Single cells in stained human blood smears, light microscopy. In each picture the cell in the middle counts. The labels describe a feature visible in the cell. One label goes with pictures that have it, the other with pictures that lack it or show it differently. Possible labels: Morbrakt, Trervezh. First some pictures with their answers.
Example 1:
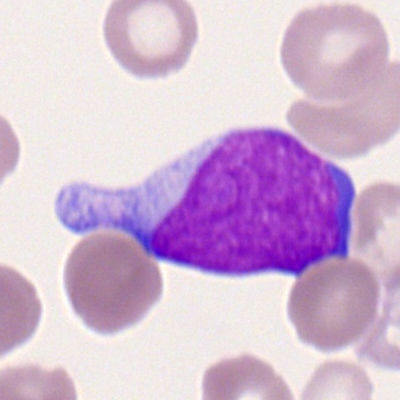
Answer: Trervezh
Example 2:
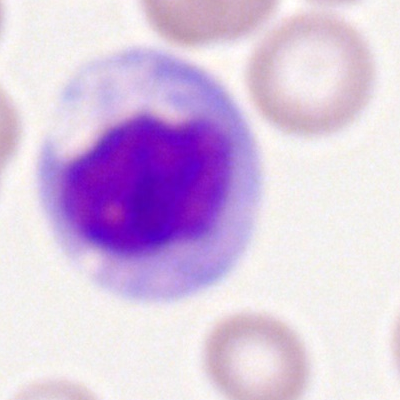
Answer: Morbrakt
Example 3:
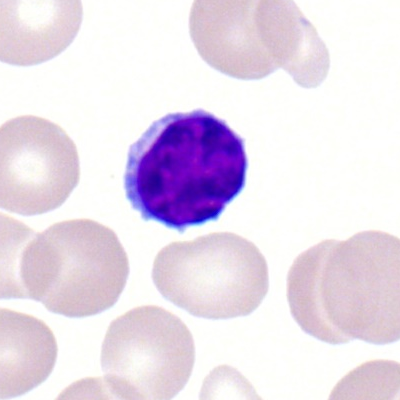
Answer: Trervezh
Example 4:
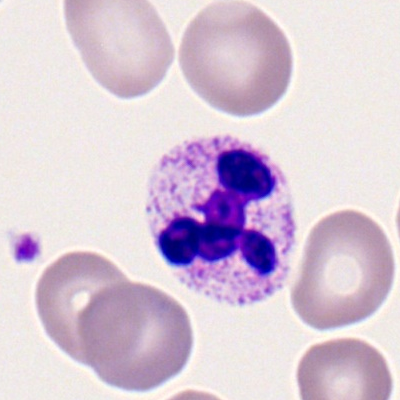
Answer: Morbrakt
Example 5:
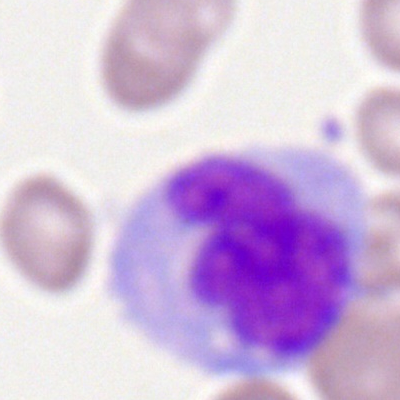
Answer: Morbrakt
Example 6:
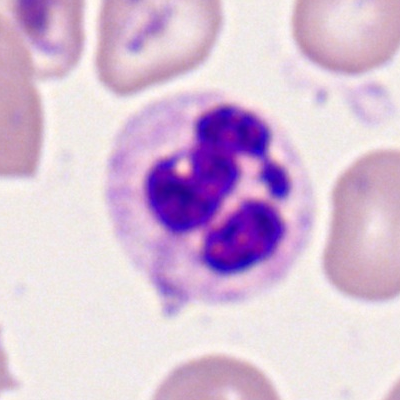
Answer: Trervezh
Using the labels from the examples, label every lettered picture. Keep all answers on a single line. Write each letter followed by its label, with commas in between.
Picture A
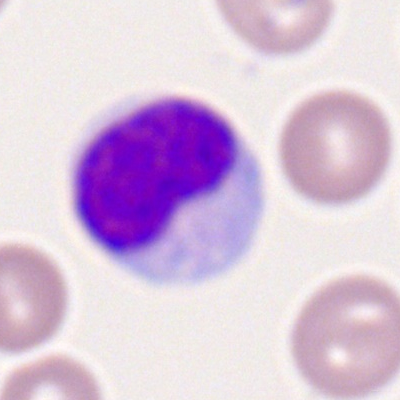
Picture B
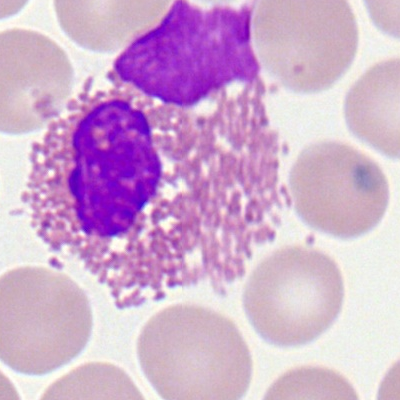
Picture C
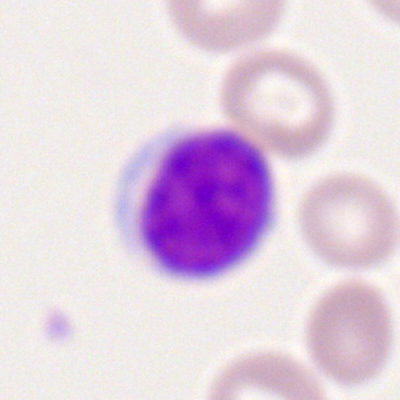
A Morbrakt, B Trervezh, C Morbrakt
